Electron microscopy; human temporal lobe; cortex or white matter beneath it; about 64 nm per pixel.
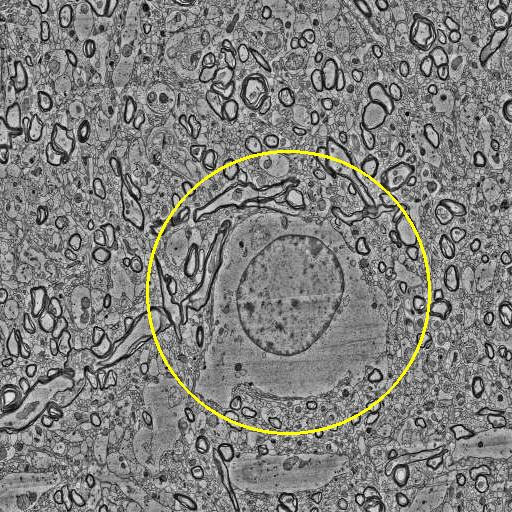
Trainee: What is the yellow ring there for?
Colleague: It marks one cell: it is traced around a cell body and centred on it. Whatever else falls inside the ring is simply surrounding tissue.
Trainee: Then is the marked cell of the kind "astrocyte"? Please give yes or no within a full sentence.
Yes, the marked cell at the centre of the yellow ring is of the kind asked about.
